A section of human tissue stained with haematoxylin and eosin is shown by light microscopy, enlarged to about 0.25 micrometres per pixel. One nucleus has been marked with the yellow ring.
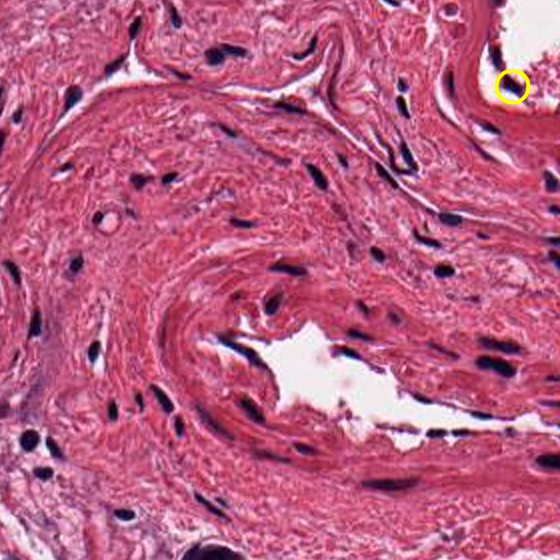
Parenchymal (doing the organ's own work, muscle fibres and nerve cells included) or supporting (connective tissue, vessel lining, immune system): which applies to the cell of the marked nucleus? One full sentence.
The marked nucleus is the nucleus of a supporting cell in this section.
